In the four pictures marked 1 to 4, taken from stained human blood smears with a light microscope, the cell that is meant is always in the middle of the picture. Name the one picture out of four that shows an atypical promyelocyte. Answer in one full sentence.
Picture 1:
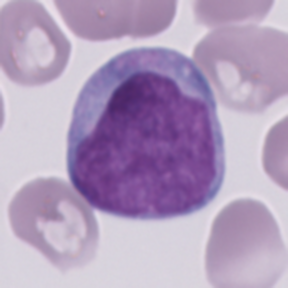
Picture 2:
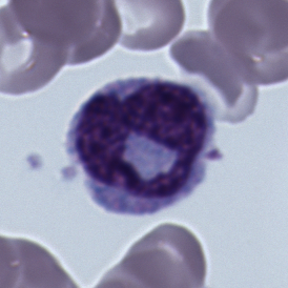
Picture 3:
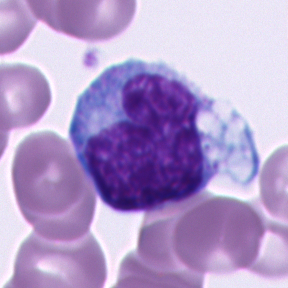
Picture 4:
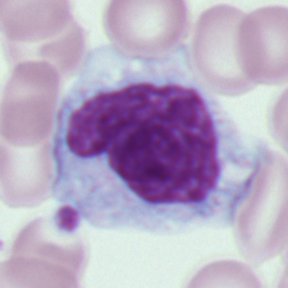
The cell in picture 1 is the atypical promyelocyte.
